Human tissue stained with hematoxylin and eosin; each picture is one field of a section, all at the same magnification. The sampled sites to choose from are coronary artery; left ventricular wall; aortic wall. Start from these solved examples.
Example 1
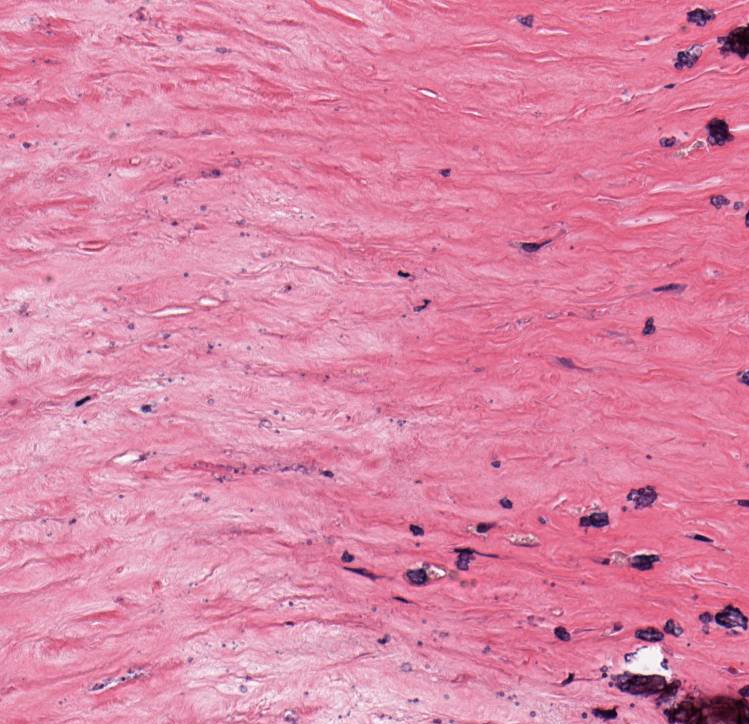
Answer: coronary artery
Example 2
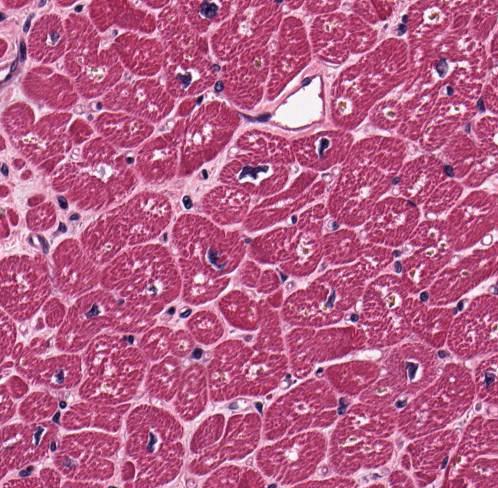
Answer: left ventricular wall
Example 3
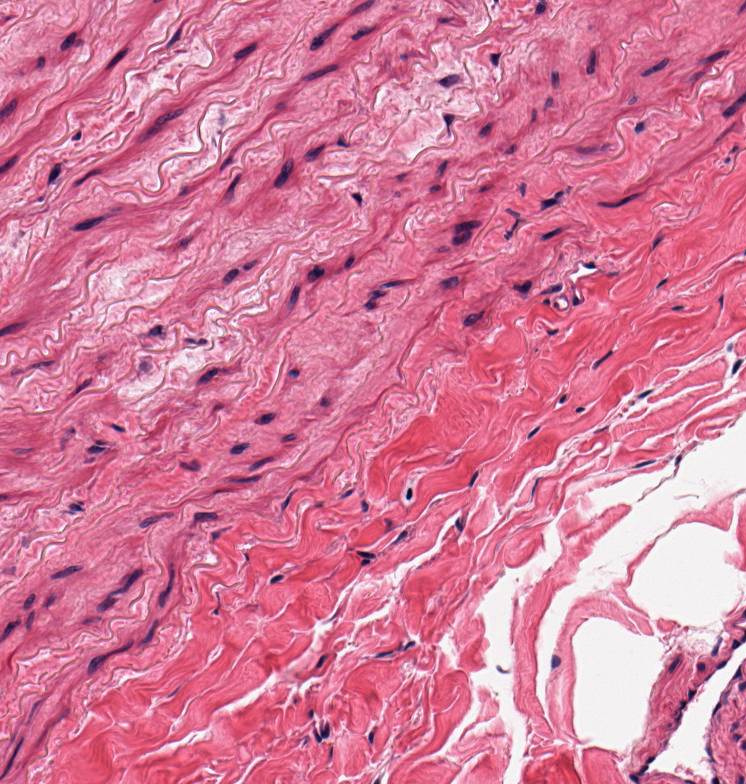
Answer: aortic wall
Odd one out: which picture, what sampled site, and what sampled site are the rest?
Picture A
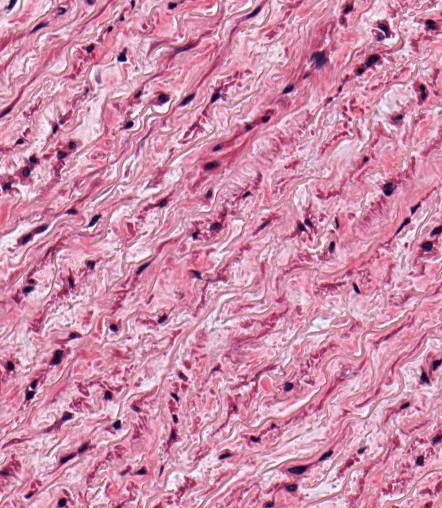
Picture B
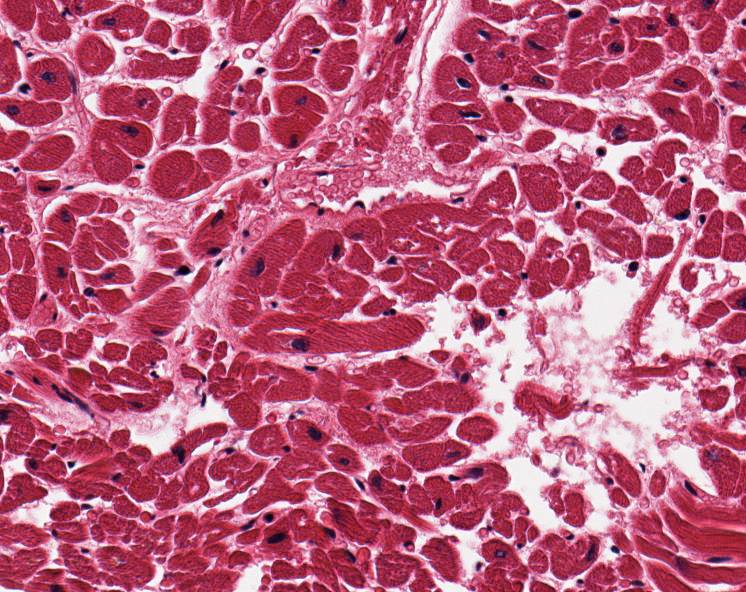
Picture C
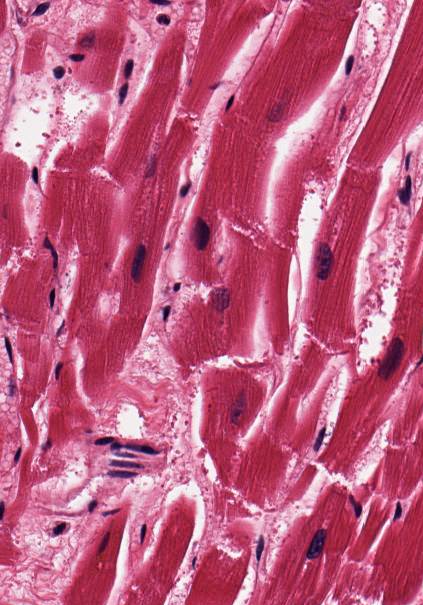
Different: A, aortic wall. Others: left ventricular wall.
